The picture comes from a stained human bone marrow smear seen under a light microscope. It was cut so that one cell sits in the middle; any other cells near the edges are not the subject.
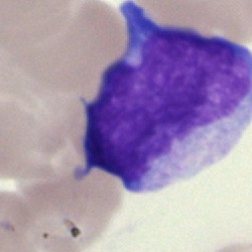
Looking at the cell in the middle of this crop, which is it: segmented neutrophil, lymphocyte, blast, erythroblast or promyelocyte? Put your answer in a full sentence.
The crop centres on a single cell, and that cell is a blast.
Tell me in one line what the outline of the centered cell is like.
Seen at its edge, the cell is not smooth but ragged or projecting.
